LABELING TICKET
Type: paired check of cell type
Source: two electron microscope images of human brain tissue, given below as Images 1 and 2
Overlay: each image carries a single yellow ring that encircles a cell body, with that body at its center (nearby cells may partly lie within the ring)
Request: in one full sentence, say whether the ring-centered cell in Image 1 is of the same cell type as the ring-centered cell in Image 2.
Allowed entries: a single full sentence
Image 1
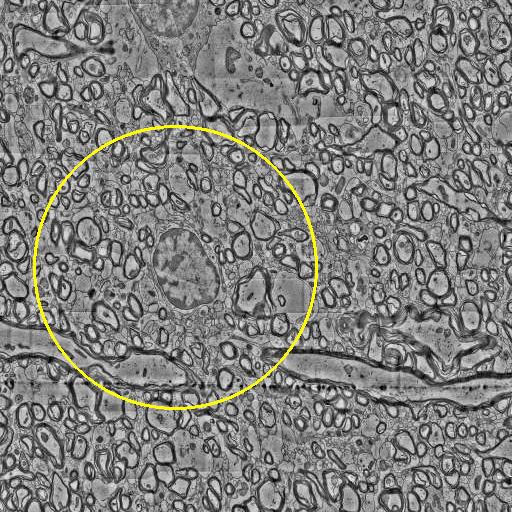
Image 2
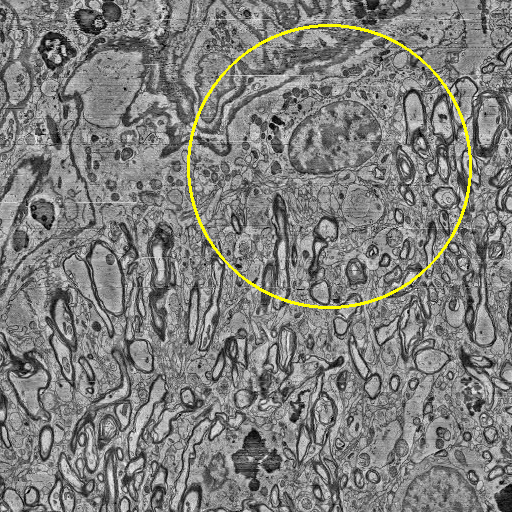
Yes, the cells centered in the rings of Image 1 and Image 2 share one type.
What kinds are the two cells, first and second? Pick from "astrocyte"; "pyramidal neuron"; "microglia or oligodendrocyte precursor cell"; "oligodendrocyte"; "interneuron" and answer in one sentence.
The cell in the first picture is a microglial cell or oligodendrocyte precursor cell, and so is the one in the second.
